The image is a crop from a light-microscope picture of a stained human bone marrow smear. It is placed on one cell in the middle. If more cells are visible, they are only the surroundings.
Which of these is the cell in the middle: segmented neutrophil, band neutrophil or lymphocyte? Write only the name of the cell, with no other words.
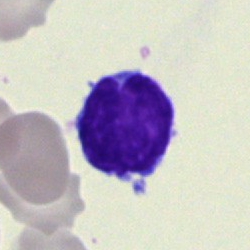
lymphocyte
